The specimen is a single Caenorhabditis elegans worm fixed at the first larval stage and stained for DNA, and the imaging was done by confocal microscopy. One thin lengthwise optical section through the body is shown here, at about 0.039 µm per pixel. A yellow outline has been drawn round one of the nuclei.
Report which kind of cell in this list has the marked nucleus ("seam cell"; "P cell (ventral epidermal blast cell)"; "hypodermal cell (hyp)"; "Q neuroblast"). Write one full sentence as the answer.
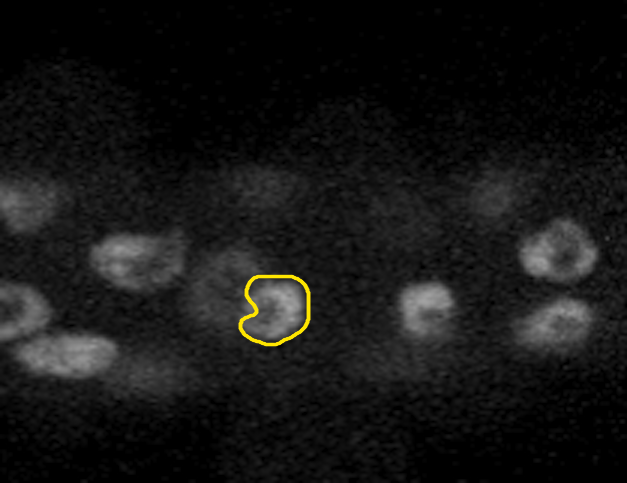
This is the nucleus of a Q neuroblast.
